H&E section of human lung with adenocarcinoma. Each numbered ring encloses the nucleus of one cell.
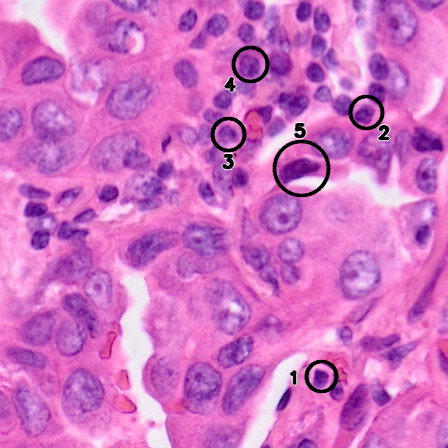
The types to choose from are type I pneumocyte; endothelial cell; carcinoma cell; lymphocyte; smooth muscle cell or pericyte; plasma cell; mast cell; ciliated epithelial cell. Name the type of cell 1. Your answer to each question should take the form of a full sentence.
The cell with the number 1 is a lymphocyte.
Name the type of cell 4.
The one numbered 4 among the marked cells is a plasma cell.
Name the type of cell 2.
Here, the cell given the number 2 is a lymphocyte.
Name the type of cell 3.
As for number 3, that cell is a lymphocyte.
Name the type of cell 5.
The cell given label 5 is a carcinoma cell.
